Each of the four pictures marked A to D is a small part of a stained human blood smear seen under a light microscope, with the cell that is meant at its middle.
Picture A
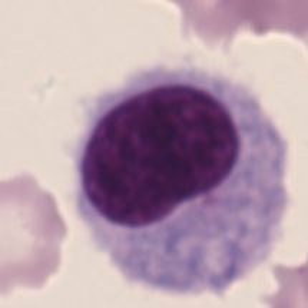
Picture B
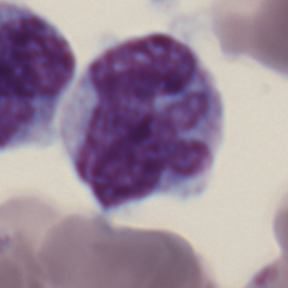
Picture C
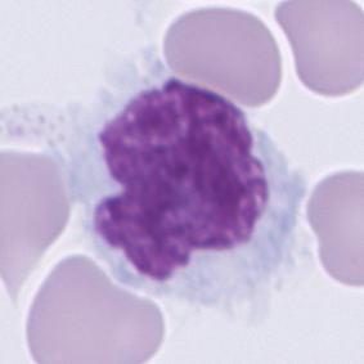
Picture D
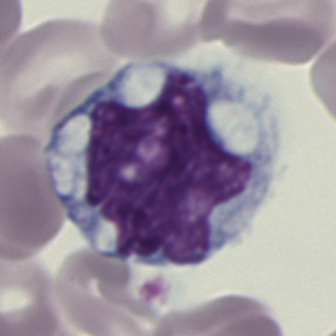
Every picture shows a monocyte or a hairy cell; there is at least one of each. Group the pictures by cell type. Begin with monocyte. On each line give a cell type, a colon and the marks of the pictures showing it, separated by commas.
monocyte: B, D
hairy cell: A, C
